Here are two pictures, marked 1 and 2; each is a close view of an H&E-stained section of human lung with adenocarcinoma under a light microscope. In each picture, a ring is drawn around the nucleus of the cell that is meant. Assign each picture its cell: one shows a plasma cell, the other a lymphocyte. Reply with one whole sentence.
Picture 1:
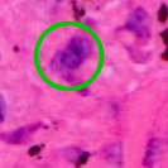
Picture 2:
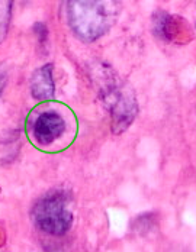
It is picture 1 that shows a plasma cell, and picture 2 that shows a lymphocyte.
